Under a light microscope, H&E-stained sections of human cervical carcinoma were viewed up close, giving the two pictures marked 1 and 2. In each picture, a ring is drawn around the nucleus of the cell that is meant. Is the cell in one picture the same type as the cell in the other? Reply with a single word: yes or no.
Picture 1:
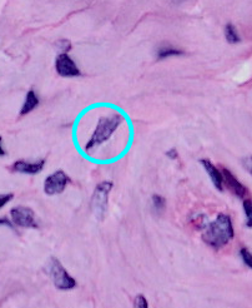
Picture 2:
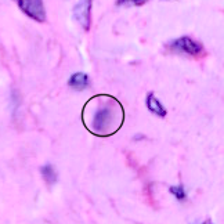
yes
